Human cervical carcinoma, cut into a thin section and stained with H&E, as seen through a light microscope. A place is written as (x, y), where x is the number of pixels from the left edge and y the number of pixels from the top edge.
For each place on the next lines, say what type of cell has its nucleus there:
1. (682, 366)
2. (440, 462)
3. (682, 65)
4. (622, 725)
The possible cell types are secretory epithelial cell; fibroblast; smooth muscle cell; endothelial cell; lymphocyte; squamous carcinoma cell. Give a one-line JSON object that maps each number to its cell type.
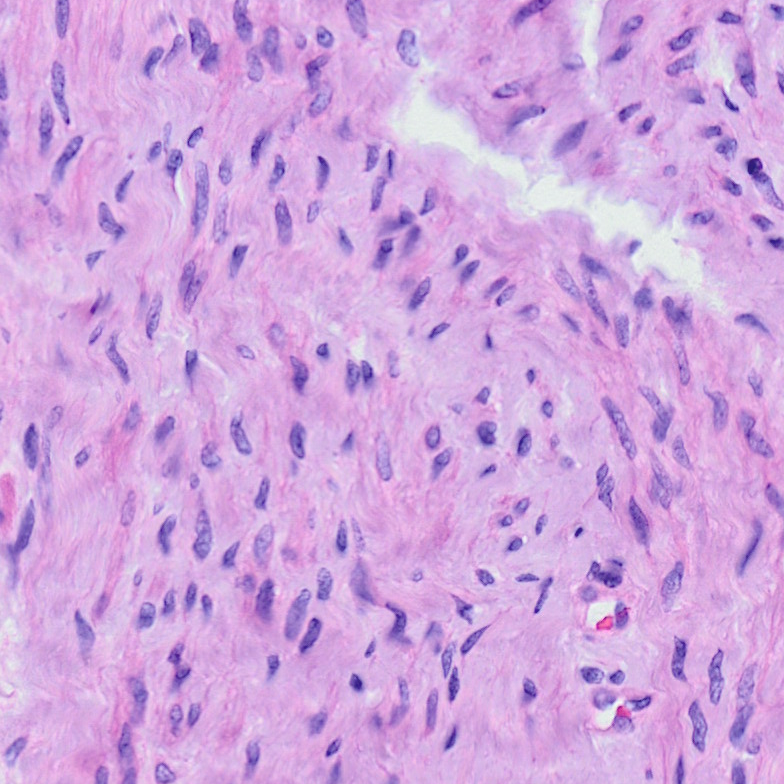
{"1": "smooth muscle cell", "2": "smooth muscle cell", "3": "smooth muscle cell", "4": "endothelial cell"}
